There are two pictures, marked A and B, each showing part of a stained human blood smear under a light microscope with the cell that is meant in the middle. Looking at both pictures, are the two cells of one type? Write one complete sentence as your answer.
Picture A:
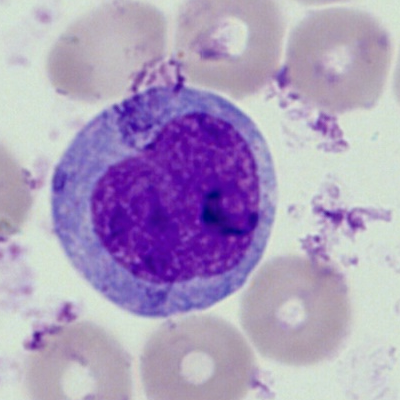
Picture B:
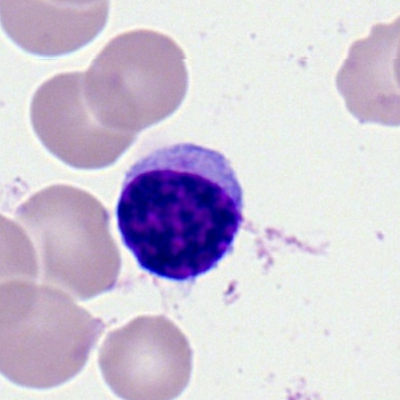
No. Picture A shows a myeloblast, but picture B shows a lymphocyte.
